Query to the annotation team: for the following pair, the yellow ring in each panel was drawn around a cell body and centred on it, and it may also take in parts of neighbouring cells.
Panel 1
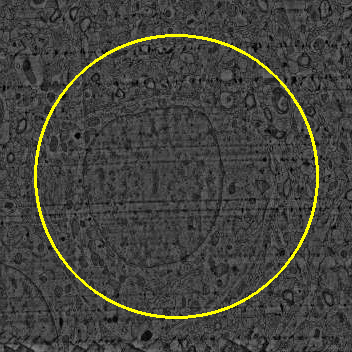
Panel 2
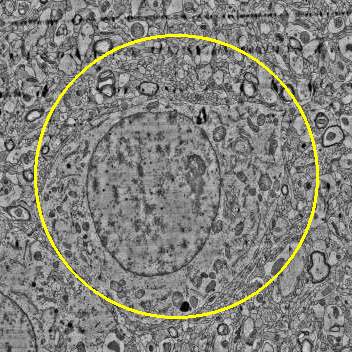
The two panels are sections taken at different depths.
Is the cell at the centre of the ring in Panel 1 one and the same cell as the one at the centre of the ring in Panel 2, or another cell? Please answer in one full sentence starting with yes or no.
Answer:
Yes, one cell appears twice, once in each ring.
